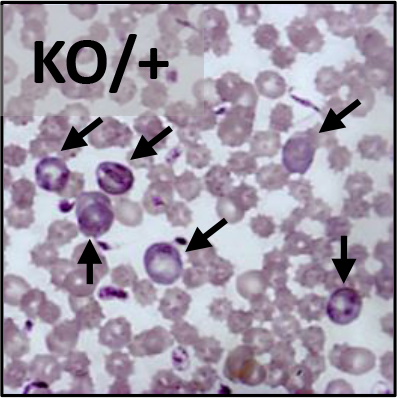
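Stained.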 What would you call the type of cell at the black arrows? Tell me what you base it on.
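The arrowed cells are round, anucleate cells about the size of or a bit larger than the surrounding red cells. The arrowed cells take up a purplish stain, unlike the pale pink red cells around them. Several arrowed cells contain darker purple material inside. The answer: reticulocytes.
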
